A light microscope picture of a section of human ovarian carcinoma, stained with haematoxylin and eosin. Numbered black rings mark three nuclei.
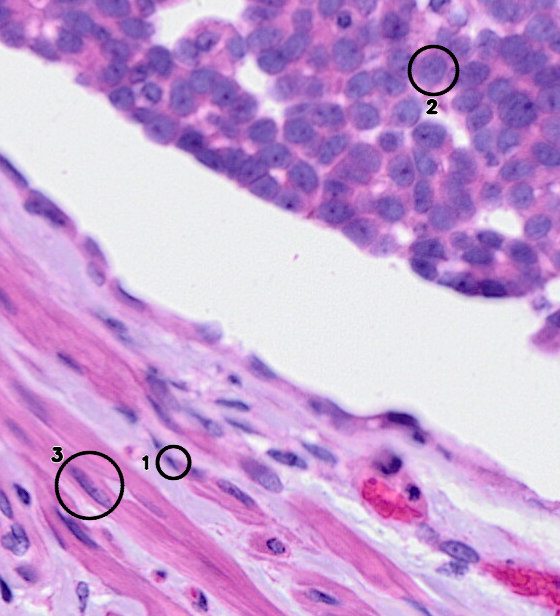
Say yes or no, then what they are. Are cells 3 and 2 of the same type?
No: cell 3 is a smooth muscle cell, while cell 2 is a carcinoma cell.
